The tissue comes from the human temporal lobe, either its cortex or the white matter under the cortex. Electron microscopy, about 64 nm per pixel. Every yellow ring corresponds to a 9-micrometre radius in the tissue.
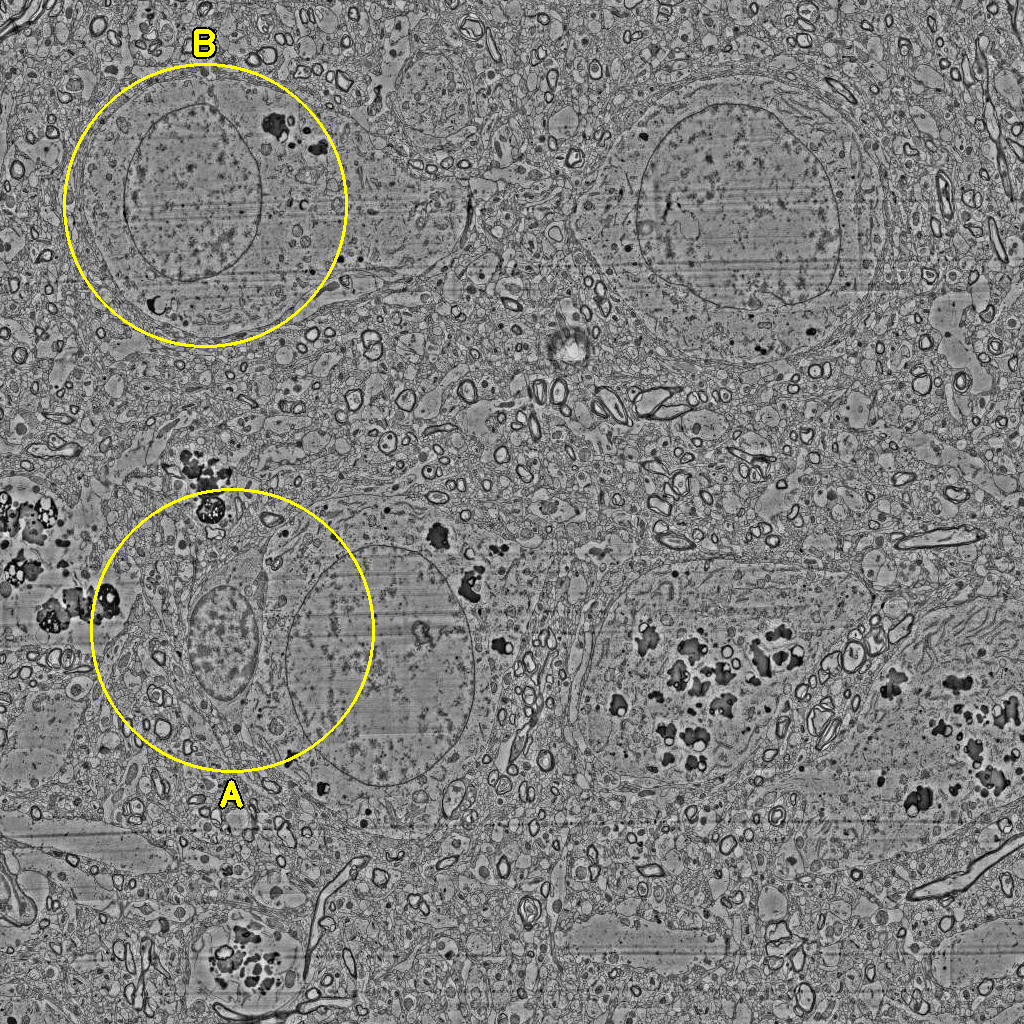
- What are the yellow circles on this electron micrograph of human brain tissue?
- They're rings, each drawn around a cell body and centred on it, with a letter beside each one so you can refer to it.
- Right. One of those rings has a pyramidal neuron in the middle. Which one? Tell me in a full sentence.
It's ring B.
